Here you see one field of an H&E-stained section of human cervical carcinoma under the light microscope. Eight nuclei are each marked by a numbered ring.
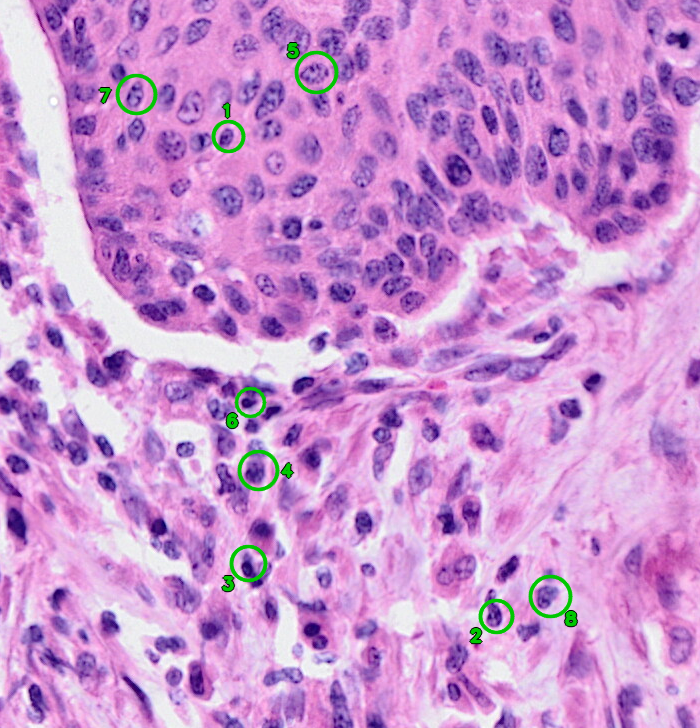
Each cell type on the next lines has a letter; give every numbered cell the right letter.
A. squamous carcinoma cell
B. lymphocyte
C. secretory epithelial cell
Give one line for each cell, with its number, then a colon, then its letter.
1: A
2: B
3: B
4: B
5: A
6: B
7: A
8: B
